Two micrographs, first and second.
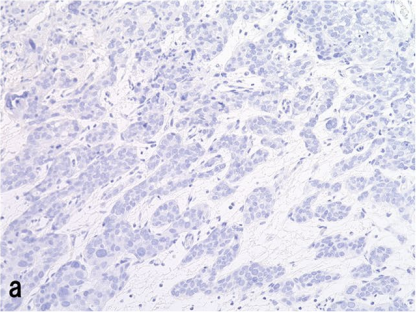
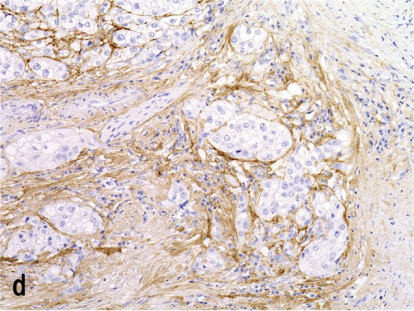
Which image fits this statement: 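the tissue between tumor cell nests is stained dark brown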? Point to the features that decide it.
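First image: both the tumor cords and the stroma are blue only, without brown.
Conclusion: the second image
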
